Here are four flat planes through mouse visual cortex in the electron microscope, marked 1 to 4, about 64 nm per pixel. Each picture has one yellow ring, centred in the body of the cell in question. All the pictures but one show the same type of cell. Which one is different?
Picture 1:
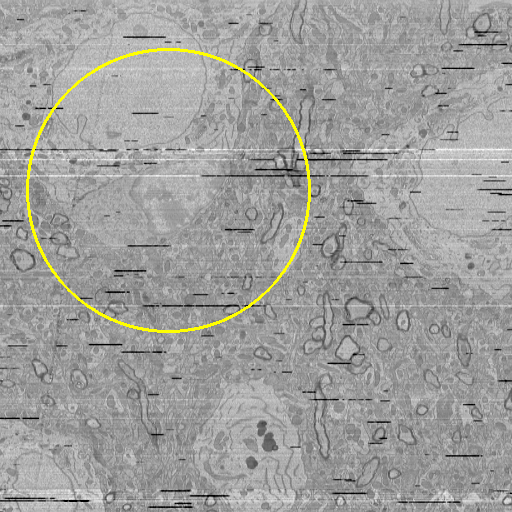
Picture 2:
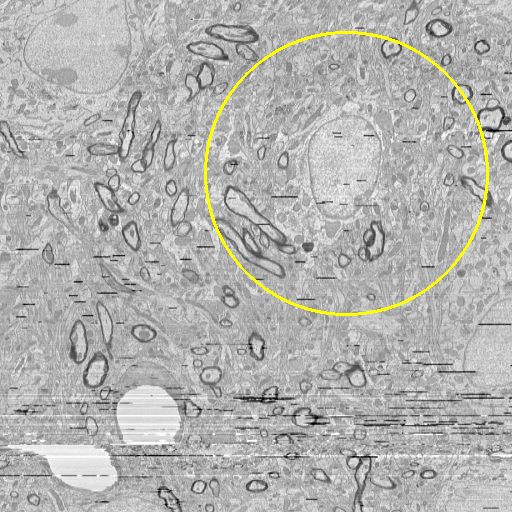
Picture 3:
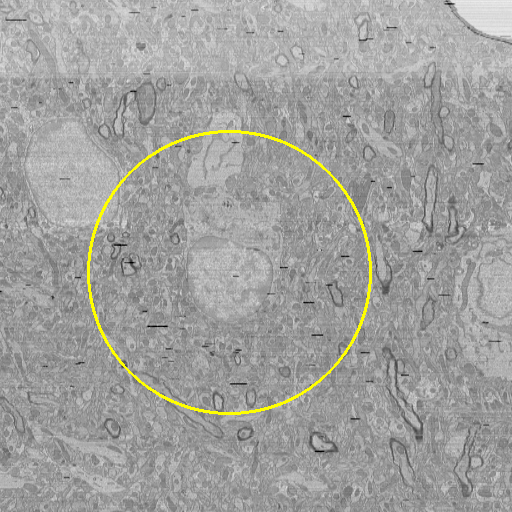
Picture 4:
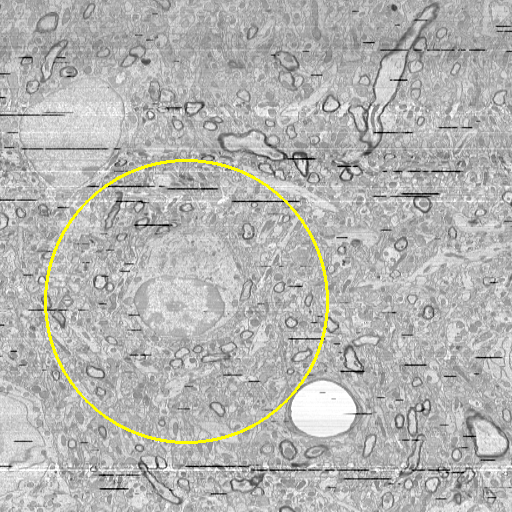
Picture 2 is the odd one out: it shows an astrocyte, while the others show oligodendrocytes.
